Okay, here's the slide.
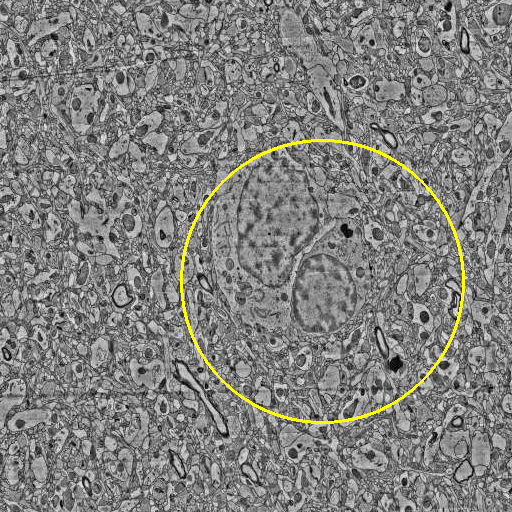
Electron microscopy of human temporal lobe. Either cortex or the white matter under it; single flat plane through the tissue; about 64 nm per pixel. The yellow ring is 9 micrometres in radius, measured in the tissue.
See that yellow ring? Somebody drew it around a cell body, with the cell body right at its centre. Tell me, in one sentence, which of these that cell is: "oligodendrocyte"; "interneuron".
The cell in the middle of the ring is an oligodendrocyte.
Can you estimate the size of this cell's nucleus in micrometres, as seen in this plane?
In this plane, roughly 5 by 4 micrometres.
